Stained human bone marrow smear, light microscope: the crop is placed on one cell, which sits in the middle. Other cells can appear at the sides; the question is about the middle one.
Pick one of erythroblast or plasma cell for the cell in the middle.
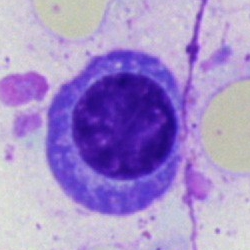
plasma cell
